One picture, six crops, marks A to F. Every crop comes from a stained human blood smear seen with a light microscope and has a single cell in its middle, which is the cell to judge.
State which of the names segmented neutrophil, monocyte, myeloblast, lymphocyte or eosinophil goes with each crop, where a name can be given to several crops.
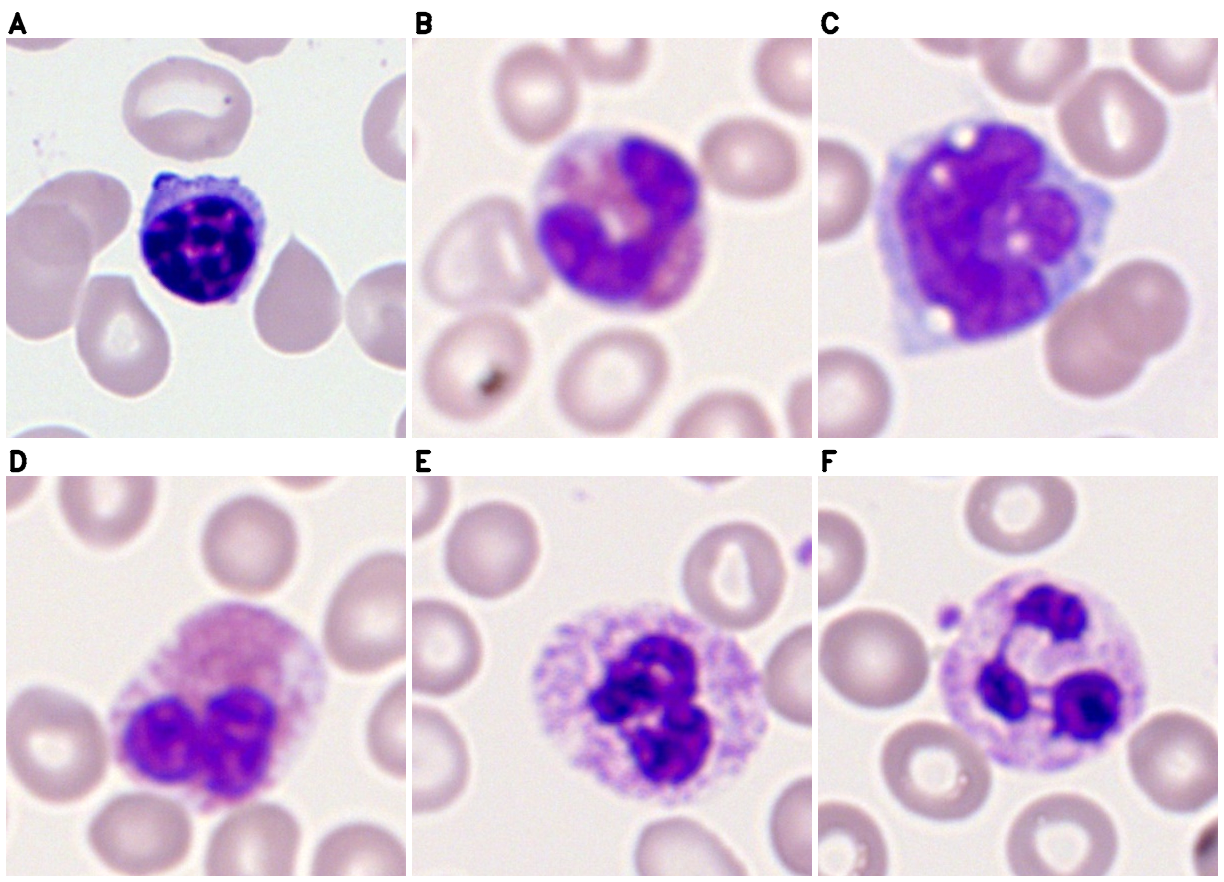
A: lymphocyte
B: eosinophil
C: monocyte
D: eosinophil
E: segmented neutrophil
F: segmented neutrophil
